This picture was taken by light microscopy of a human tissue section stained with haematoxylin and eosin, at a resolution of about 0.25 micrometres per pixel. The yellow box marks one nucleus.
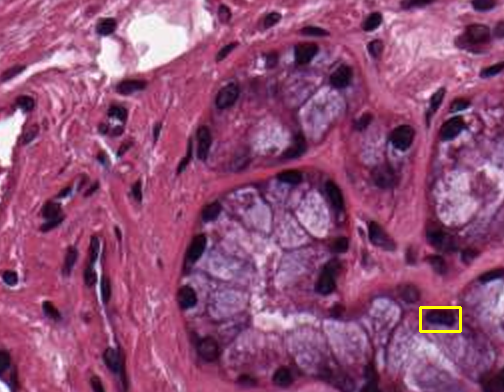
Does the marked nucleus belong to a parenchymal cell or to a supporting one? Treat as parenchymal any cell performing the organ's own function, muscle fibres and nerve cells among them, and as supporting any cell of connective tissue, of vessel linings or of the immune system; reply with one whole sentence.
The parenchymal cell to which the marked nucleus belongs is a mucous gland cell.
